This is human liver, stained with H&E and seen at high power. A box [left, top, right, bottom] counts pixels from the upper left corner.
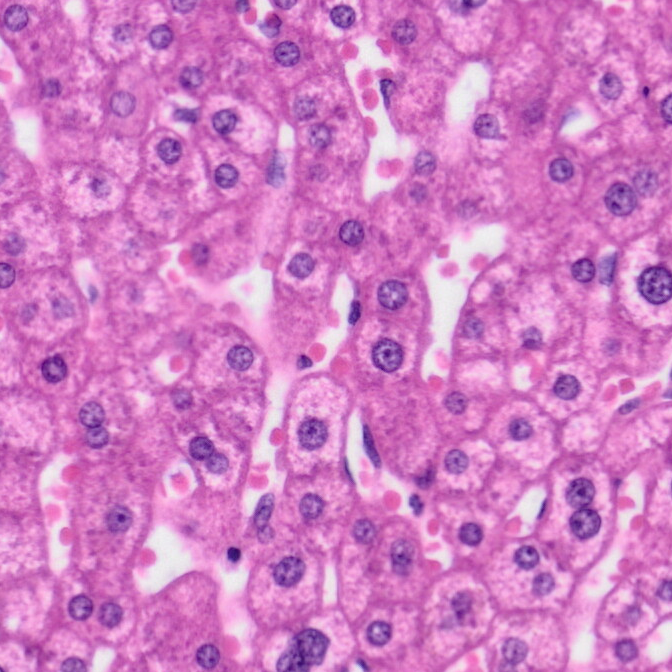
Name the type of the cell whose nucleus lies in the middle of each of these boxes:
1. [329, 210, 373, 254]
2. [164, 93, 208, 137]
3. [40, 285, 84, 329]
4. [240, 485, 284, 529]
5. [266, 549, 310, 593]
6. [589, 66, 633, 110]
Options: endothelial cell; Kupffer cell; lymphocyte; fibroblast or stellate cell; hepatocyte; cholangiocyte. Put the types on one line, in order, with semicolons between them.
hepatocyte; Kupffer cell; hepatocyte; Kupffer cell; hepatocyte; hepatocyte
